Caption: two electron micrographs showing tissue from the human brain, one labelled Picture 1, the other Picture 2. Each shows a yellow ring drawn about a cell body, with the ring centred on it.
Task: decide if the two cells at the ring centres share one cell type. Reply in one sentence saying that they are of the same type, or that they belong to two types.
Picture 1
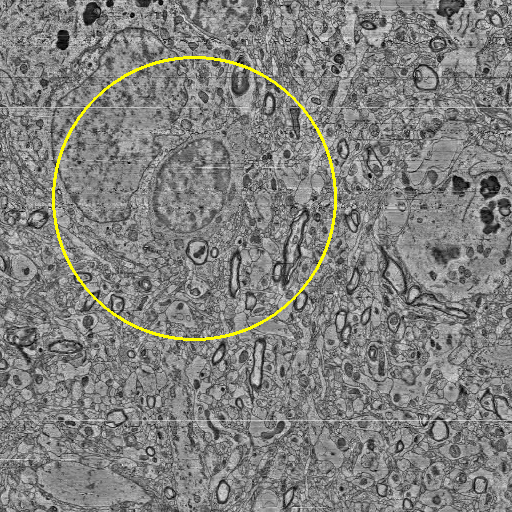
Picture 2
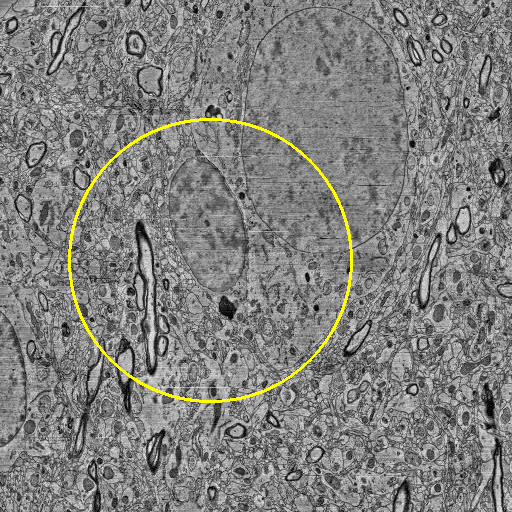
The cells at the ring centres in Picture 1 and Picture 2 are of the same type.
